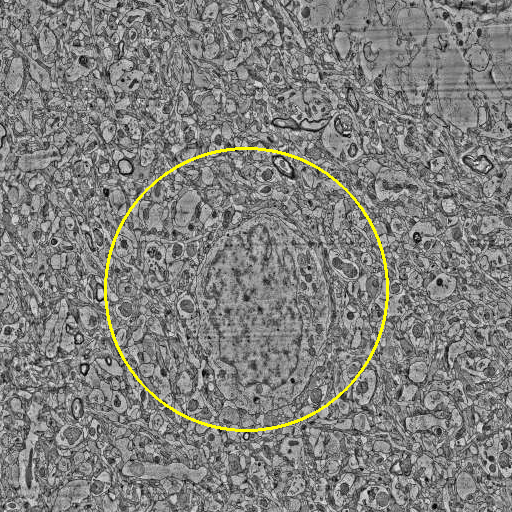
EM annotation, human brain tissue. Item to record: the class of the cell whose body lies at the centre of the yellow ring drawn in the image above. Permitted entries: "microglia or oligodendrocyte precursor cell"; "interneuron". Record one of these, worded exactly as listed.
interneuron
